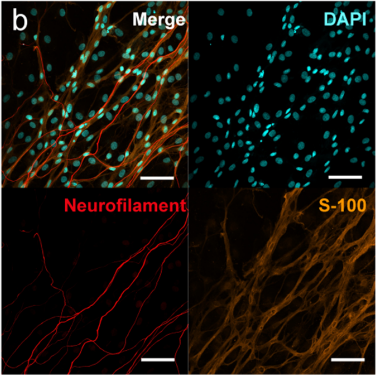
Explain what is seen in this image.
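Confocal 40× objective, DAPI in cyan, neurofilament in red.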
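Long, thin red fibres run in roughly parallel diagonal courses across the field, smooth and without nuclei of their own. Numerous small oval cyan nuclei are scattered through the field, many elongated in the direction of the bands and sitting within the gold cells, giving an aligned, stream-like arrangement of cells following the neurites.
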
